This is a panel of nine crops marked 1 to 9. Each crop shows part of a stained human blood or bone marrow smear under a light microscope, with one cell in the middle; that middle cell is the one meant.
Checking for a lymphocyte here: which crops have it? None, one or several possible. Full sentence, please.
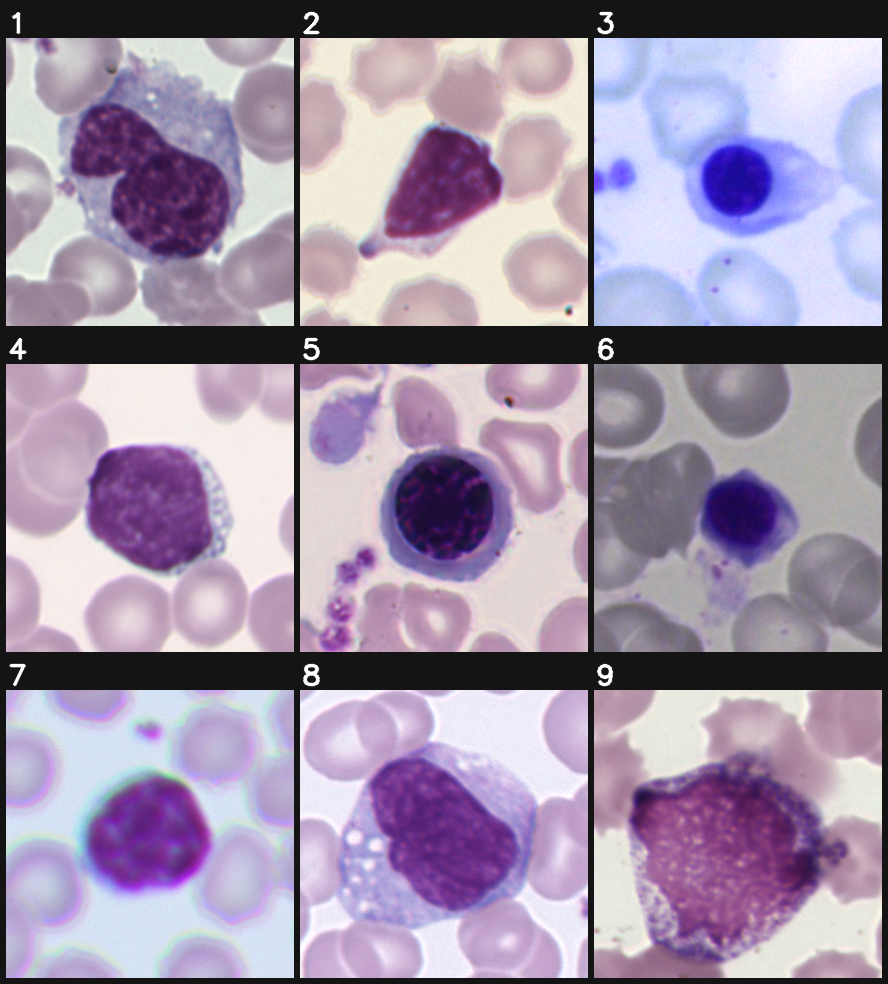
On review, crops 2, 4 and 7 show lymphocytes.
